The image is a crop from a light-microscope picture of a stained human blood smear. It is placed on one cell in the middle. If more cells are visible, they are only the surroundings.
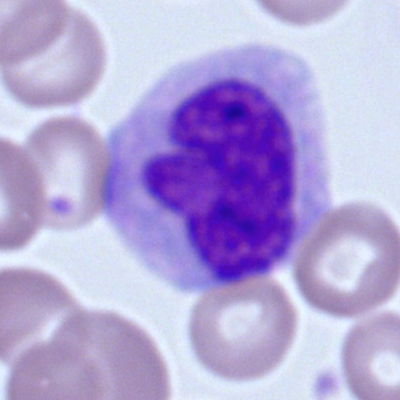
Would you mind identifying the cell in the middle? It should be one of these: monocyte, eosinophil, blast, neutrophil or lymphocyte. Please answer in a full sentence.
At the crop's centre, the cell is a monocyte.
